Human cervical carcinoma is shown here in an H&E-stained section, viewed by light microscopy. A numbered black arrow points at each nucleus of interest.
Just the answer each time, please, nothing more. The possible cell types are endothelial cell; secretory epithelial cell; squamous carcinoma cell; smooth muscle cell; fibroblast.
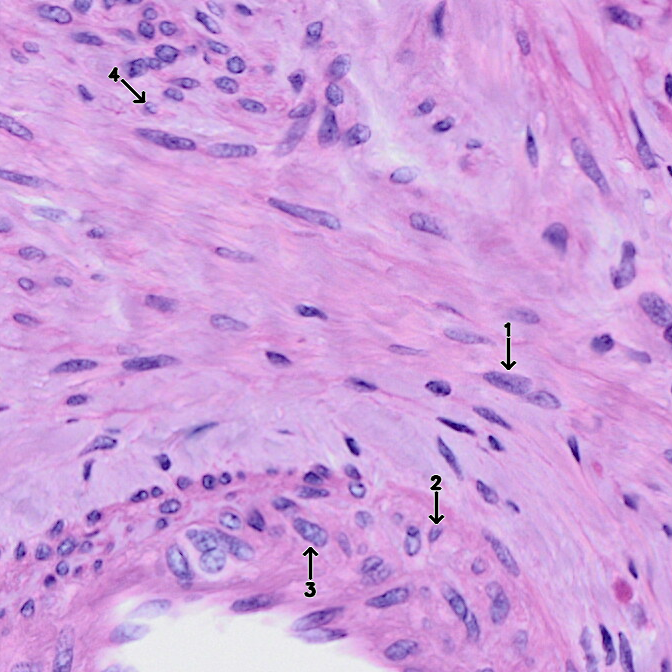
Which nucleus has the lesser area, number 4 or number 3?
4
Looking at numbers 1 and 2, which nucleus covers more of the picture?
1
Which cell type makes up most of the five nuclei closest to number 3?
smooth muscle cell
